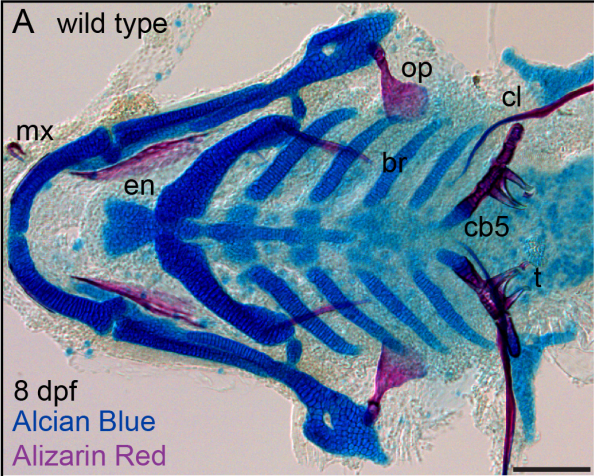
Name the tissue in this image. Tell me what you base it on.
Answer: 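Viscerocrania. A U-shaped anterior jaw cartilage is followed by a series of paired arch cartilages. The arches converge on a midline row of small cartilages. Thin red bones lie beside the jaw and arches.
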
